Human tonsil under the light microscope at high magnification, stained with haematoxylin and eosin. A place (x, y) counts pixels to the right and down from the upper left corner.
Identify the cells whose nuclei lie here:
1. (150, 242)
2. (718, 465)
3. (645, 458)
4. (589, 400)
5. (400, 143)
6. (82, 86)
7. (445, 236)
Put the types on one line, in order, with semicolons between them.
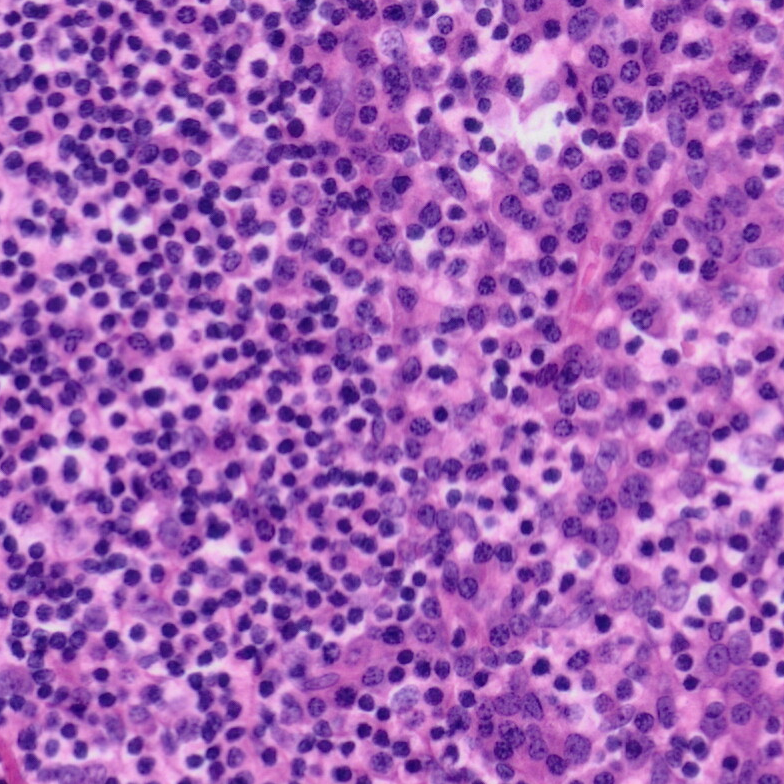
small lymphocyte; squamous epithelial cell; plasma cell; plasma cell; plasma cell; small lymphocyte; plasma cell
